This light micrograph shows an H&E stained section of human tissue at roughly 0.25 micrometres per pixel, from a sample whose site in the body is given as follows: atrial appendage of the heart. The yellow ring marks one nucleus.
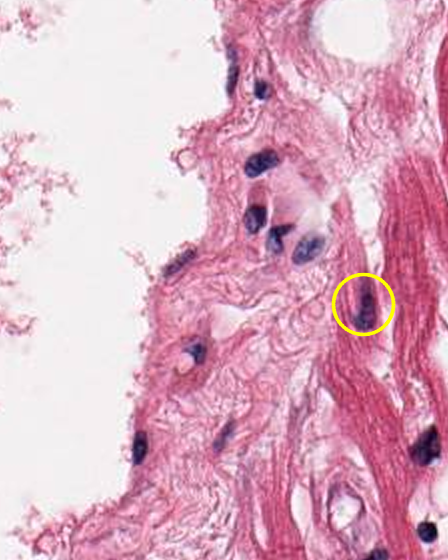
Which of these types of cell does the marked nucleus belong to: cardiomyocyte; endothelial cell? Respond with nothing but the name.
cardiomyocyte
